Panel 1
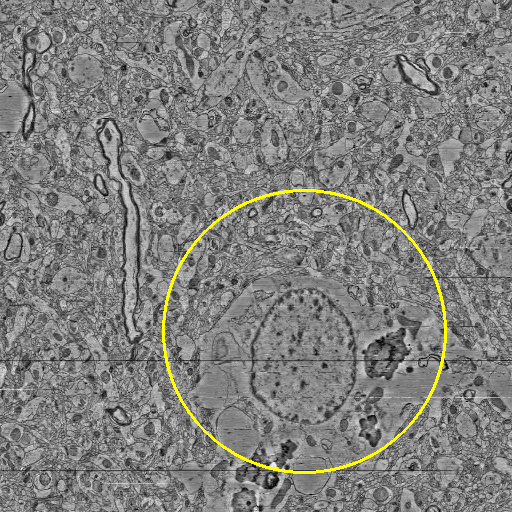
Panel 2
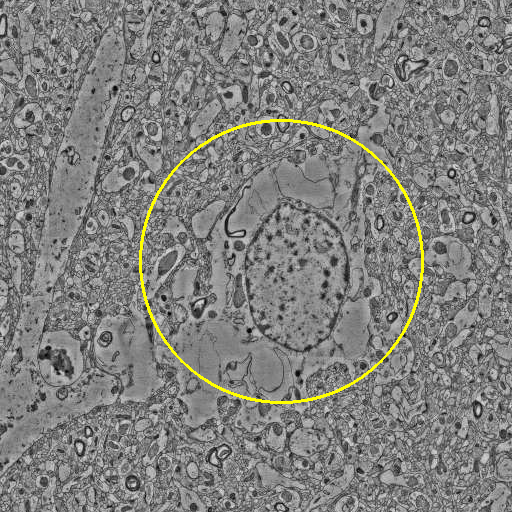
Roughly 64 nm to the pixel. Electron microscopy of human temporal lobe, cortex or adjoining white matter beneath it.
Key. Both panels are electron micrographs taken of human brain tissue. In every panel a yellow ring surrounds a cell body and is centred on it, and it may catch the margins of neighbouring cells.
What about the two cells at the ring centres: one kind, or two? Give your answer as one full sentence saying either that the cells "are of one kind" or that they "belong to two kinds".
Across Panels 1 and 2, the two cells at the ring centres are of one kind.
